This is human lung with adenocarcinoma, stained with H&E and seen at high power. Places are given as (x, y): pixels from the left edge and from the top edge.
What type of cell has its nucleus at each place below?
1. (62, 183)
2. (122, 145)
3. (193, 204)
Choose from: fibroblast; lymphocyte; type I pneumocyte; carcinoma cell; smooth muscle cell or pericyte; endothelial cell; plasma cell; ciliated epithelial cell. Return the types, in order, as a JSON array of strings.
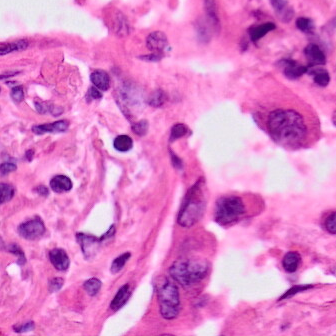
["lymphocyte", "lymphocyte", "carcinoma cell"]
